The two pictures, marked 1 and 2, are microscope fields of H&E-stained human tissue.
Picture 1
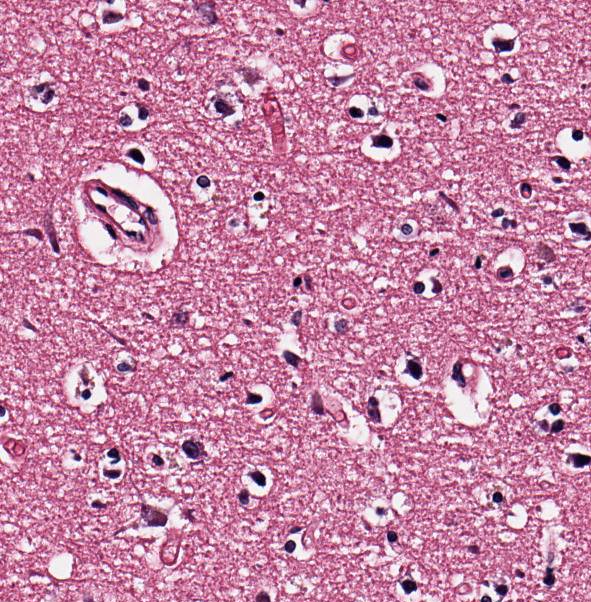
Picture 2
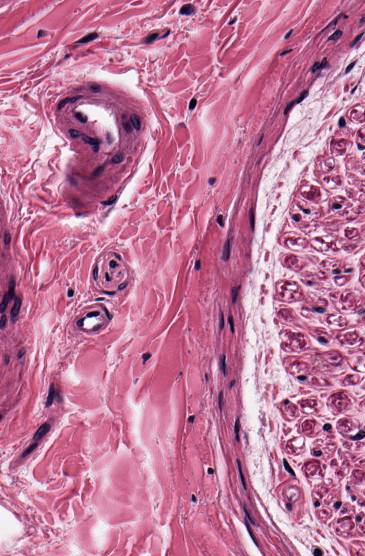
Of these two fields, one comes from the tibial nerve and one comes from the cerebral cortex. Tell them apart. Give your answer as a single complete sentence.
It is picture 1 that comes from the cerebral cortex, and picture 2 that comes from the tibial nerve.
